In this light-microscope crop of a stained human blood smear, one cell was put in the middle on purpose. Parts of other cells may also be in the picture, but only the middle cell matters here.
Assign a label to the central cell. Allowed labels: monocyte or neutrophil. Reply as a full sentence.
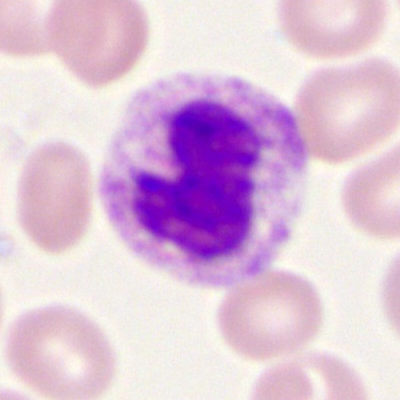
In the middle of this smear crop, the cell is a neutrophil.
